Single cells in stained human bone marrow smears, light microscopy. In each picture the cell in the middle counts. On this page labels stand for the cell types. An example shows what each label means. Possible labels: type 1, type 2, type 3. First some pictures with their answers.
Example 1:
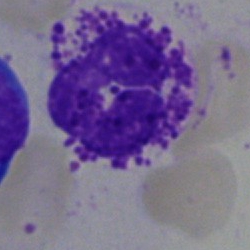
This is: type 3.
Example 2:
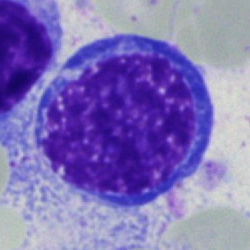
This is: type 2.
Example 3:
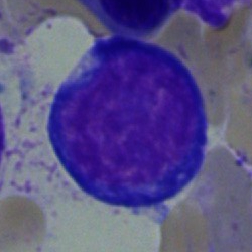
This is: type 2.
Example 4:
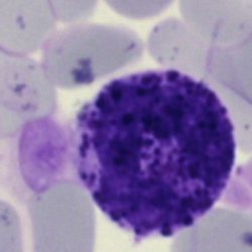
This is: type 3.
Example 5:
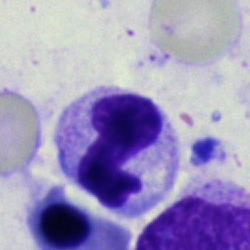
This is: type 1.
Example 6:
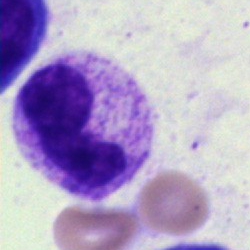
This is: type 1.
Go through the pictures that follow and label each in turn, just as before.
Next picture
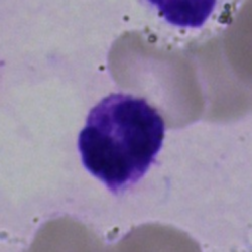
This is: type 3.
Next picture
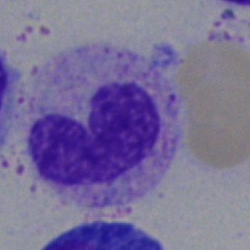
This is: type 1.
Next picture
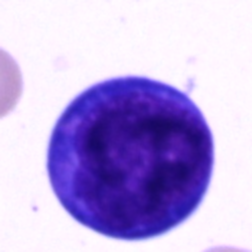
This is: type 2.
